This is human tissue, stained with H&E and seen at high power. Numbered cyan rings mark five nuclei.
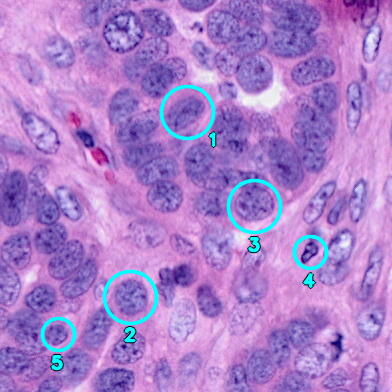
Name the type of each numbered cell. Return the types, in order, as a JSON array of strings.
["carcinoma cell", "carcinoma cell", "carcinoma cell", "lymphocyte", "macrophage or monocyte"]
